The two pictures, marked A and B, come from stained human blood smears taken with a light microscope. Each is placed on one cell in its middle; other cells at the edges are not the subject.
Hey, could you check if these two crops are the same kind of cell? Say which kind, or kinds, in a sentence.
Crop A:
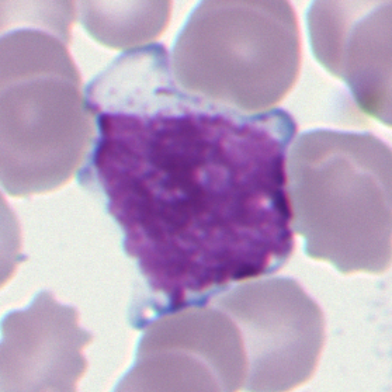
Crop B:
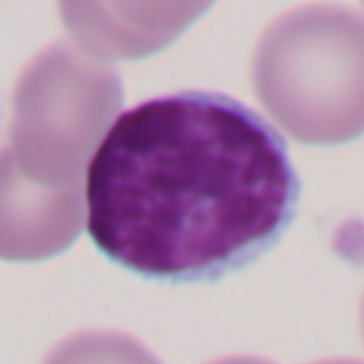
Yes, that is right, both crops show typical lymphocytes.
